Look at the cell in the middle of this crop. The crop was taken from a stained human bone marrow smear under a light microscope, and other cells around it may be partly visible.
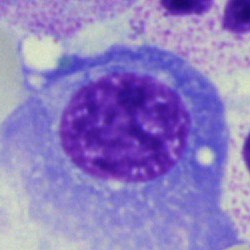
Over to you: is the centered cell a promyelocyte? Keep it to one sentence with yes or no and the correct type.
No, the central cell isn't a promyelocyte, but a plasma cell.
